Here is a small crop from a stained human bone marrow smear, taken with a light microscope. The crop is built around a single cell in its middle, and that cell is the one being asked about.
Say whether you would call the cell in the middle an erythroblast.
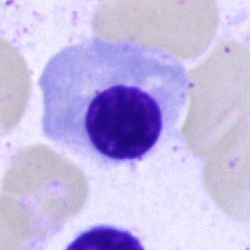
yes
